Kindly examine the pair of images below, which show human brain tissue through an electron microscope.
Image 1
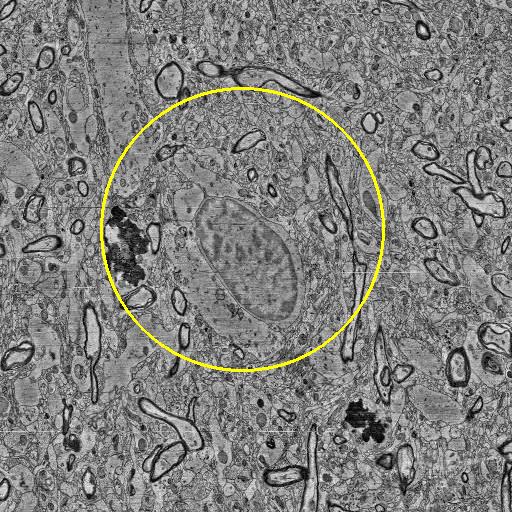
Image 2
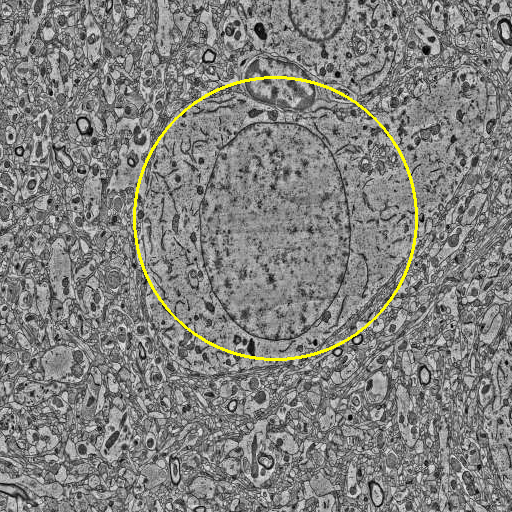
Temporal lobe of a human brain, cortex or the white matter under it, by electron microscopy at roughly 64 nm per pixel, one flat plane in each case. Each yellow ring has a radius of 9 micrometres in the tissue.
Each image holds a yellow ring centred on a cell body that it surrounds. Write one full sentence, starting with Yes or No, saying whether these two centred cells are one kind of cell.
No, the cells at the centres of the yellow rings belong to two kinds of cell.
